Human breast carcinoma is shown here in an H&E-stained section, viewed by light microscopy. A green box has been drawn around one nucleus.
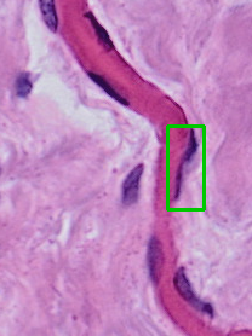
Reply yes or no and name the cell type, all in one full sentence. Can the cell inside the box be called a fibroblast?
No, what the cell inside the box represents is an endothelial cell rather than a fibroblast.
